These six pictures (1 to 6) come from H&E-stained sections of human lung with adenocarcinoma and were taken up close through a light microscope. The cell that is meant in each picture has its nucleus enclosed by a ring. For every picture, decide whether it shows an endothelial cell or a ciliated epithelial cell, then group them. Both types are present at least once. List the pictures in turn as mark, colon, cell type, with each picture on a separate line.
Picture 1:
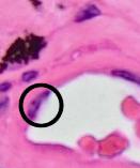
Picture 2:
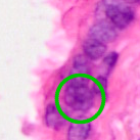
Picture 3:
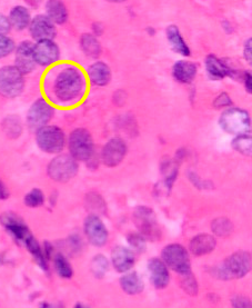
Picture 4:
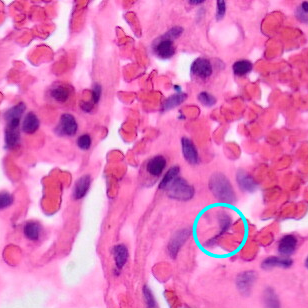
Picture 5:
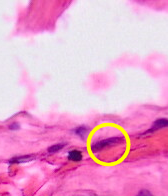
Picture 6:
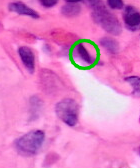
1: endothelial cell
2: ciliated epithelial cell
3: ciliated epithelial cell
4: endothelial cell
5: endothelial cell
6: endothelial cell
